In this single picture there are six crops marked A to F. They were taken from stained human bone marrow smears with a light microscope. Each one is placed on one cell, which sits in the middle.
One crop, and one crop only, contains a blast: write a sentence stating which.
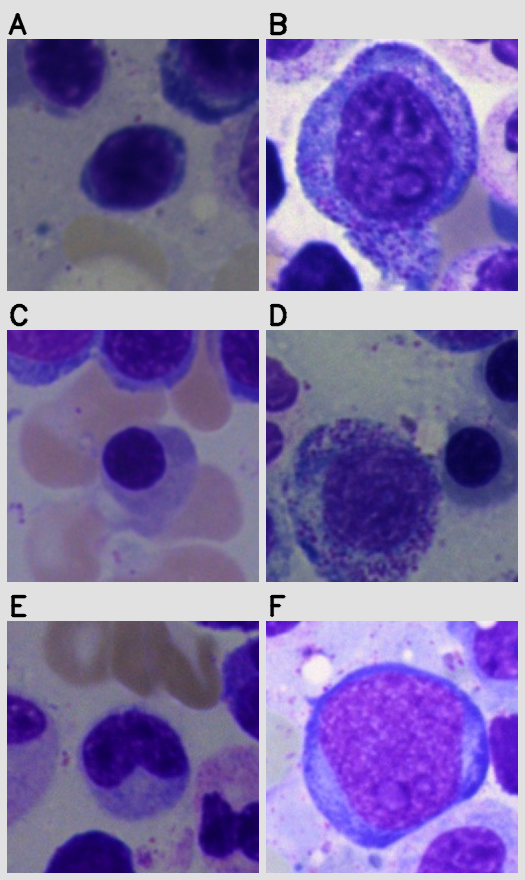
It is crop F that shows a blast.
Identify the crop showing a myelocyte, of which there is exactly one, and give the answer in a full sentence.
The cell at the center of crop D is the one that is a myelocyte.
